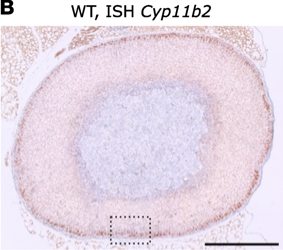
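This section of an adrenal gland shows a broad outer cortex surrounding a pale, bluish central medulla. The cortex takes a light brown tint throughout, but a thin, darker brown band runs along its very outer edge, forming the zona glomerulosa just beneath the capsule. Deeper cortical layers stay lighter, and the medulla is unstained apart from the blue counterstain.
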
